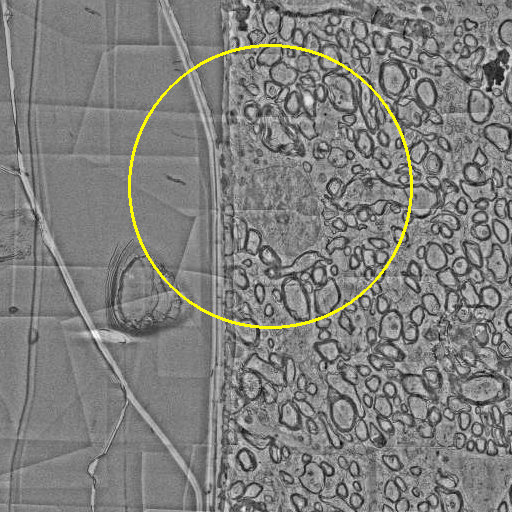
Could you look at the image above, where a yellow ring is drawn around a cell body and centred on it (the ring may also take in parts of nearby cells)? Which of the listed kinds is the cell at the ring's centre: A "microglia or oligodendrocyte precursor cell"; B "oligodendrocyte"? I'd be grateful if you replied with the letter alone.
B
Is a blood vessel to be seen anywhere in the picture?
Yes, a blood vessel can be seen.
